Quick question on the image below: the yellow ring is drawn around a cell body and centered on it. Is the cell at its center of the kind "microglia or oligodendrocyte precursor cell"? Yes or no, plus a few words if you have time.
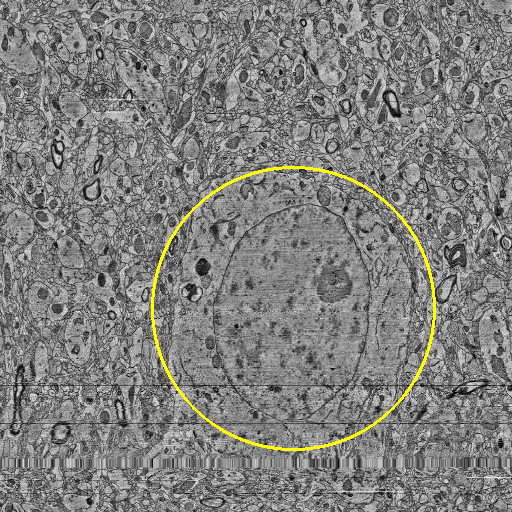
No, the cell at the center is of another kind.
